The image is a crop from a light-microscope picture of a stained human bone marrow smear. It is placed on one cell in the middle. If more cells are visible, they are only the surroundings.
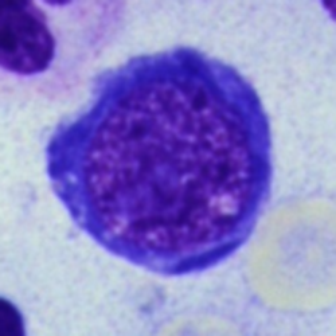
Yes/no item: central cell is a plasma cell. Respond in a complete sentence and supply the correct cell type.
No, the central cell is not a plasma cell; it is an erythroblast.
